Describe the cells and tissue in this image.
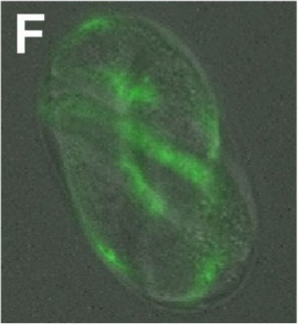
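This is a nematode embryo late in development, seen inside its oval eggshell, with green fluorescence laid over a grey interference-contrast image. The long, slender body of the worm is folded back on itself several times, so that segments of the body lie side by side across the egg. The green signal runs as narrow longitudinal stripes along the folded body, following the length of the animal rather than filling it evenly. Fainter green spots lie near the edges of the egg where the body bends. The grey contrast image shows the granular texture of the embryo's interior and the smooth outline of the eggshell around it.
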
